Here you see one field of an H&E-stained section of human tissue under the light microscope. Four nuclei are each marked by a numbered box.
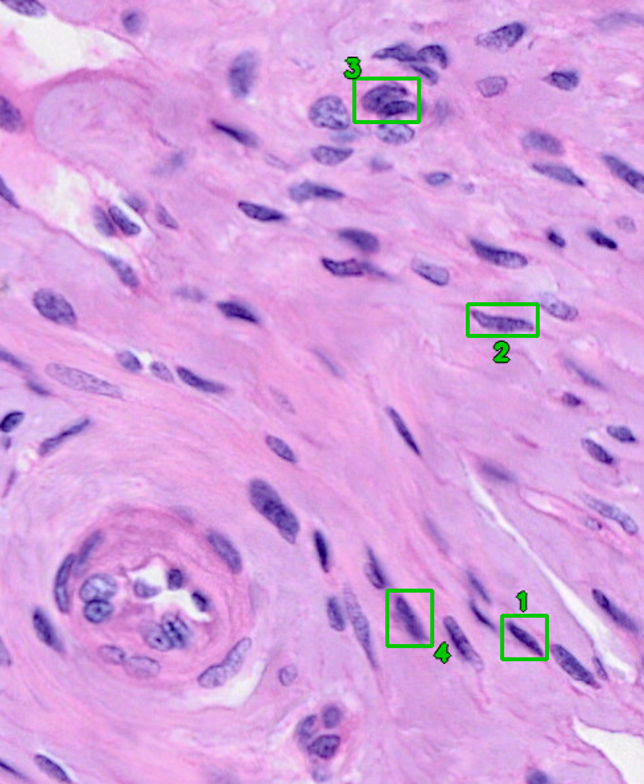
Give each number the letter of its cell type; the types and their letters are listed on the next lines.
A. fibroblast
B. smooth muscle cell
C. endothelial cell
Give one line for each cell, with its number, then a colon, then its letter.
1: A
2: A
3: C
4: A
